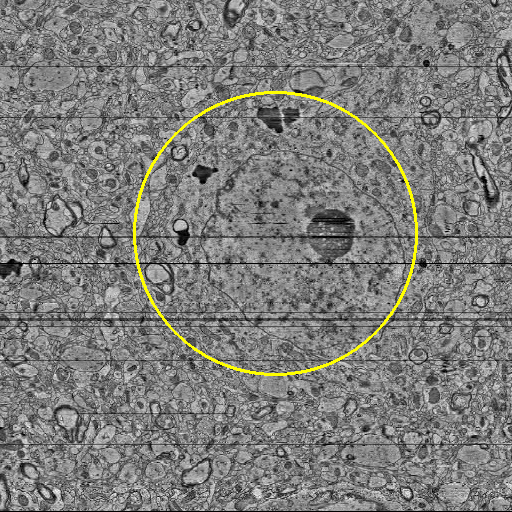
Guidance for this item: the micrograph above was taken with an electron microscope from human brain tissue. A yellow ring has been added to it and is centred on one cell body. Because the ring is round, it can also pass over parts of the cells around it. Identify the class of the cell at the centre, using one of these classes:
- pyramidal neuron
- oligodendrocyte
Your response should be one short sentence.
The ring surrounds the body of a pyramidal neuron.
